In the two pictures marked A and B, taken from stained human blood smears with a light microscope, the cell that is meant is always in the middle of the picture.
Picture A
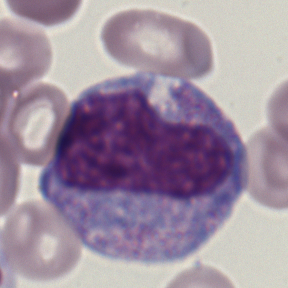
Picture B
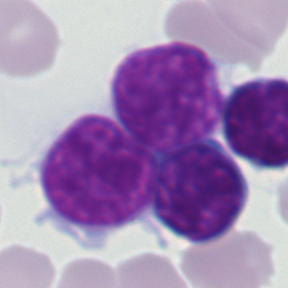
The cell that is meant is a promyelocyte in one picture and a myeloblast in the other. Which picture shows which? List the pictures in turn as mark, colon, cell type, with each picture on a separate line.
A: promyelocyte
B: myeloblast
